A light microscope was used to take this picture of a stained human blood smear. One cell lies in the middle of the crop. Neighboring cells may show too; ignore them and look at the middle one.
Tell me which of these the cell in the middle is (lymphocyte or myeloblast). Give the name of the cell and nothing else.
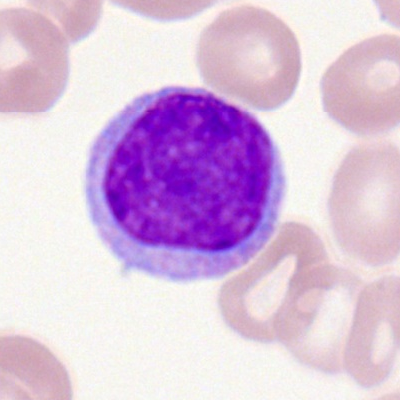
lymphocyte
